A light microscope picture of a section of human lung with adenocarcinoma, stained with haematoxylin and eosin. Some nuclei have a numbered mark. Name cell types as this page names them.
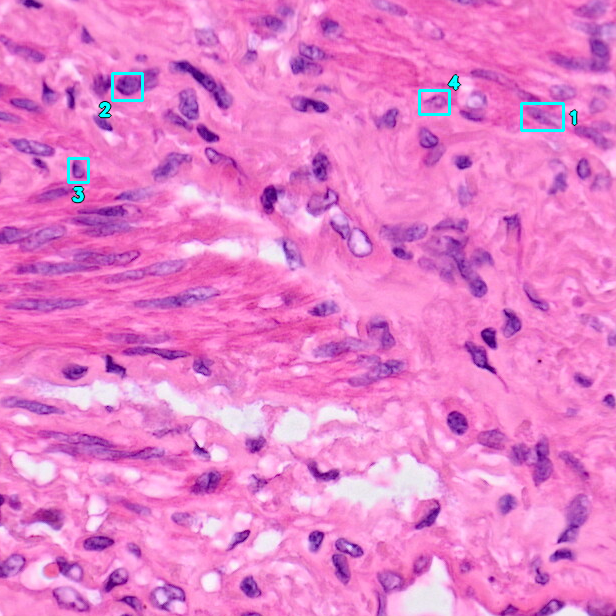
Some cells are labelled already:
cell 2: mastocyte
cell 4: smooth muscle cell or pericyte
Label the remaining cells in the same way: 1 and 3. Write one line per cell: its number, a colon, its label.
1: smooth muscle cell or pericyte
3: smooth muscle cell or pericyte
